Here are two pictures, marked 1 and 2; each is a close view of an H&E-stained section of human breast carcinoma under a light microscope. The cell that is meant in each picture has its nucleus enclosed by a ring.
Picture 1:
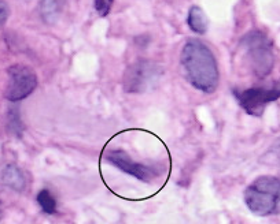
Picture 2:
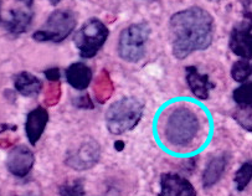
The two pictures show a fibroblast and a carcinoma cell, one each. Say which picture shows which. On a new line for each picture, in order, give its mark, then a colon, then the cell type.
1: fibroblast
2: carcinoma cell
